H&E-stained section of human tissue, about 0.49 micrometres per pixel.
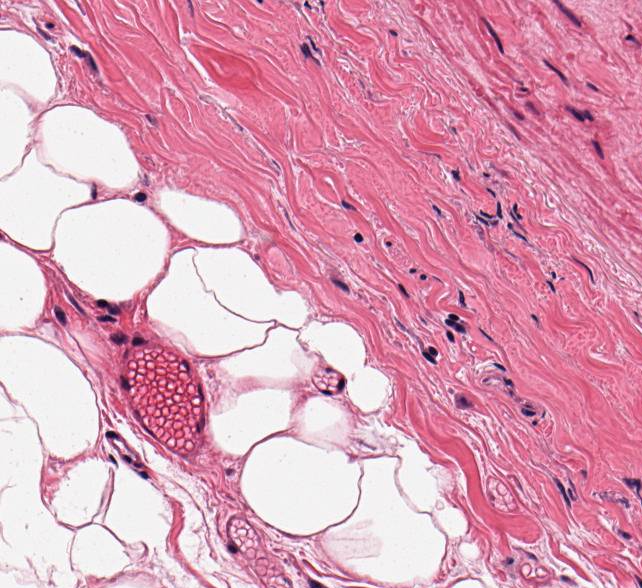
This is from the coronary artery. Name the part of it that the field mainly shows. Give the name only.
tunica adventitia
